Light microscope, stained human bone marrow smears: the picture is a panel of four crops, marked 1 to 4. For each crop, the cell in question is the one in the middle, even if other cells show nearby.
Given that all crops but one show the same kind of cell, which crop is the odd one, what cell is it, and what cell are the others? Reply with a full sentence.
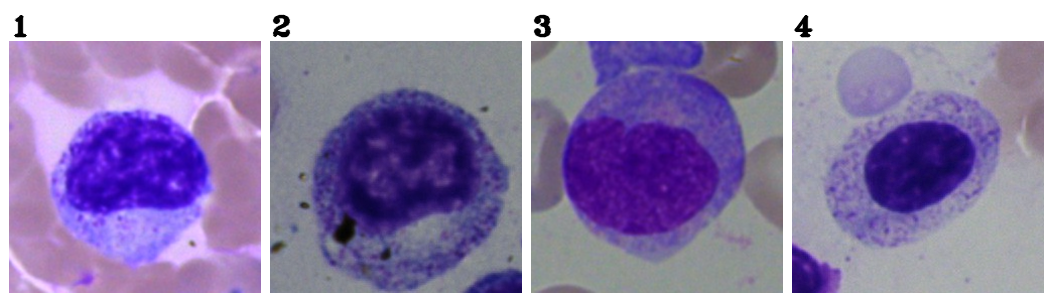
Unlike the other crops, which all show myelocytes, crop 3 is a monocyte.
